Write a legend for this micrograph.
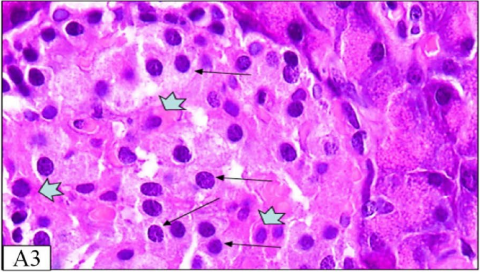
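The islet cells have round, dark purple nuclei and pale pink, finely granular cytoplasm. Some cells sit at the periphery of the islet, others toward its centre.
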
